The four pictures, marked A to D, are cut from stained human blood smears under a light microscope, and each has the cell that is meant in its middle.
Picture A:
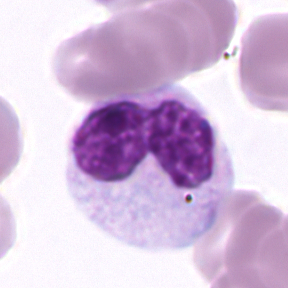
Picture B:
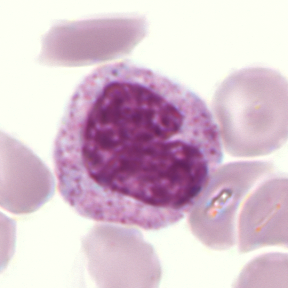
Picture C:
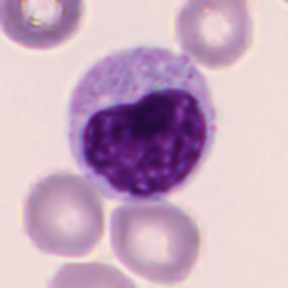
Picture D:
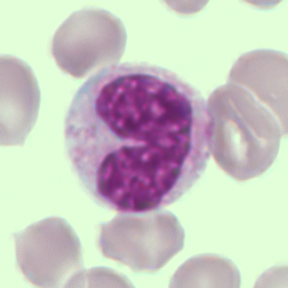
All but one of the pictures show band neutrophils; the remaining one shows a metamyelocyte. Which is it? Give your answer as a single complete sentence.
The metamyelocyte is the one in picture C.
